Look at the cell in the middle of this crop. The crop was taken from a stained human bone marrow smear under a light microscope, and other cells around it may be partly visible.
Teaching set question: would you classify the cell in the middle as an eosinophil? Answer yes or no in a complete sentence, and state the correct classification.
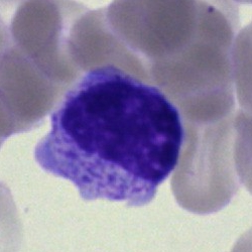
No, the cell in the middle is recognised as a myelocyte rather than an eosinophil.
